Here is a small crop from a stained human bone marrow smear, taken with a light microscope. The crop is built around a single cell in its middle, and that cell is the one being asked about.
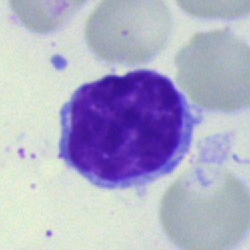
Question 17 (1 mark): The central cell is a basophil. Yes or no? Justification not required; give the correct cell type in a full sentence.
No, rather than a basophil, the central cell is a lymphocyte.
